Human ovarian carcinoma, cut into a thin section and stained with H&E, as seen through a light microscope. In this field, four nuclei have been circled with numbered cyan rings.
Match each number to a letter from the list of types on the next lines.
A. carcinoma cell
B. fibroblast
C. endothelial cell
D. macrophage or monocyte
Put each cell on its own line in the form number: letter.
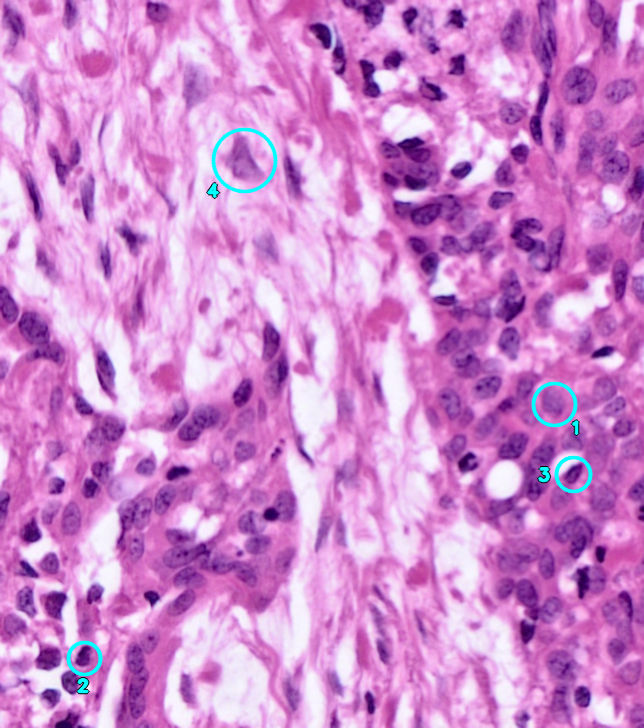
1: A
2: A
3: A
4: B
